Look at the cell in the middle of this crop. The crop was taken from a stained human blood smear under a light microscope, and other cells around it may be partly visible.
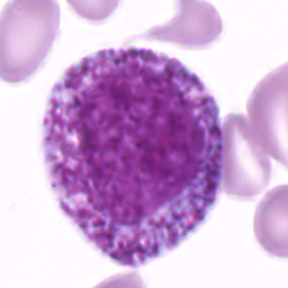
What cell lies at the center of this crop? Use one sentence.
The cell the crop is centered on is a promyelocyte.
